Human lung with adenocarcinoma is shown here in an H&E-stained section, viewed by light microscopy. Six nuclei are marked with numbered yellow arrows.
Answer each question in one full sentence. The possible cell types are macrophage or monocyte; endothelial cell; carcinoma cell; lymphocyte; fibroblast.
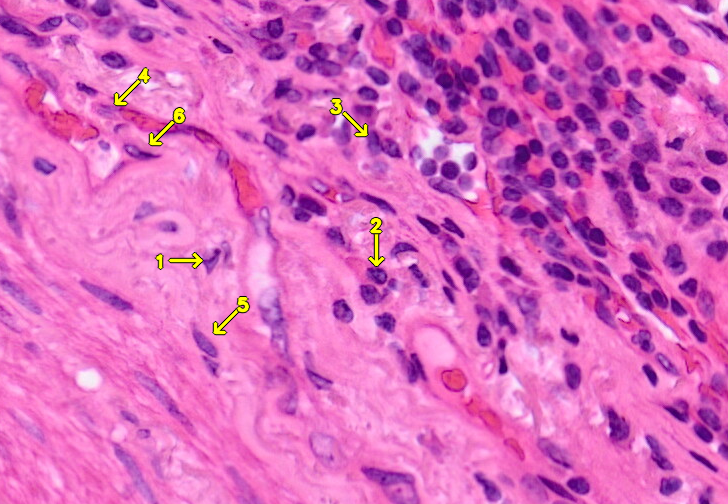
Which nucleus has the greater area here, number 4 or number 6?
It is nucleus 6, which covers about 1.5 times the area of nucleus 4.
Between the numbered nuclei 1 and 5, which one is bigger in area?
Number 5 is larger; its area is about 1.5 times that of number 1.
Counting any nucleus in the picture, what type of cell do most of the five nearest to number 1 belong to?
Of the five nuclei nearest to number 1, most belong to endothelial cells.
